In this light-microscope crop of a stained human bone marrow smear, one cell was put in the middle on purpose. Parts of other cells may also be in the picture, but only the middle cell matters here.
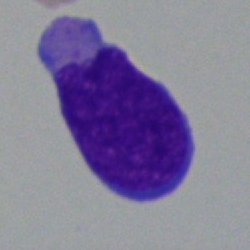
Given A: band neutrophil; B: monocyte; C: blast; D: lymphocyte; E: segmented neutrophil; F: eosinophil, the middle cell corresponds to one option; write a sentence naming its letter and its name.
The right choice is option C: the cell in the middle is a blast.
